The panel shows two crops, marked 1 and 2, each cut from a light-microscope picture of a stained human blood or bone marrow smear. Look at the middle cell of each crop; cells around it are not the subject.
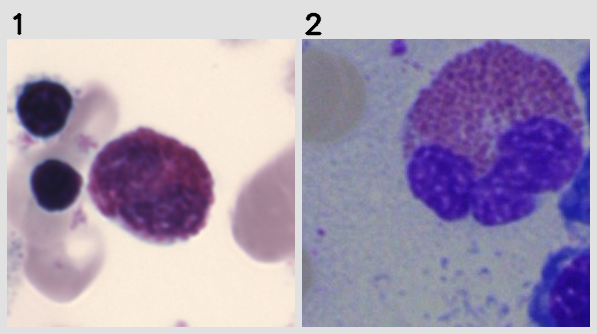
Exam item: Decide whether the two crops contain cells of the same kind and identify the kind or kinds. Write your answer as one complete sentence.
Yes, the cells found in the middle of both crops are eosinophils.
